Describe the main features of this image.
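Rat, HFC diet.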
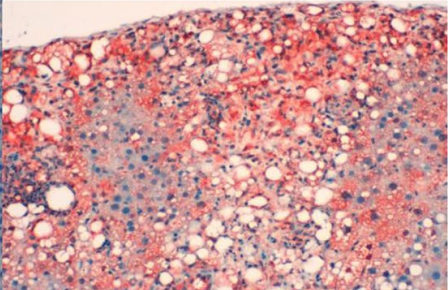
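Liver tissue beneath the capsule shows hepatocytes crowded with clear round vacuoles of varying size, with dense red-stained granular material scattered through the cytoplasm between them. Clusters of small dark blue nuclei lie among the swollen cells, and the regular arrangement of the hepatocyte plates is disrupted.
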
